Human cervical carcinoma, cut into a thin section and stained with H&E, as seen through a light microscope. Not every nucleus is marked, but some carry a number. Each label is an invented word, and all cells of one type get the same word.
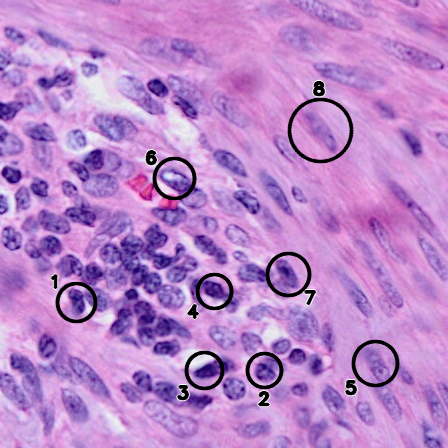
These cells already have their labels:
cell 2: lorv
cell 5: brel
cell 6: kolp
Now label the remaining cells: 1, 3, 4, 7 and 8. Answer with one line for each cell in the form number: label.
1: lorv
3: lorv
4: lorv
7: lorv
8: brel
